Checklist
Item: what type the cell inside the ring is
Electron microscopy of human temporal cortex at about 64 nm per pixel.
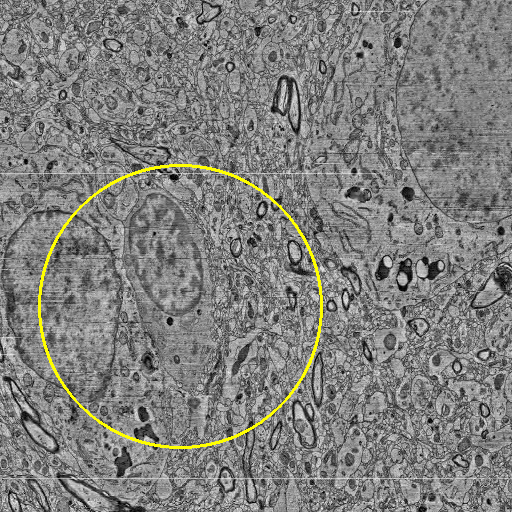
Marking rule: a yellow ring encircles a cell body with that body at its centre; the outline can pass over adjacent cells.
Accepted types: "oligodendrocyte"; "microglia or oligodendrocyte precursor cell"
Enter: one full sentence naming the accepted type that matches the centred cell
The entry is that an oligodendrocyte lies at the centre of the yellow ring.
